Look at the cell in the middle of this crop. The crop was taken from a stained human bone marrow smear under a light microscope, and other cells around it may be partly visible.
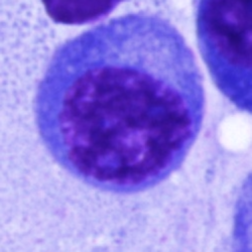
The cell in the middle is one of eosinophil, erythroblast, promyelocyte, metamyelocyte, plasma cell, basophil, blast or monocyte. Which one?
plasma cell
